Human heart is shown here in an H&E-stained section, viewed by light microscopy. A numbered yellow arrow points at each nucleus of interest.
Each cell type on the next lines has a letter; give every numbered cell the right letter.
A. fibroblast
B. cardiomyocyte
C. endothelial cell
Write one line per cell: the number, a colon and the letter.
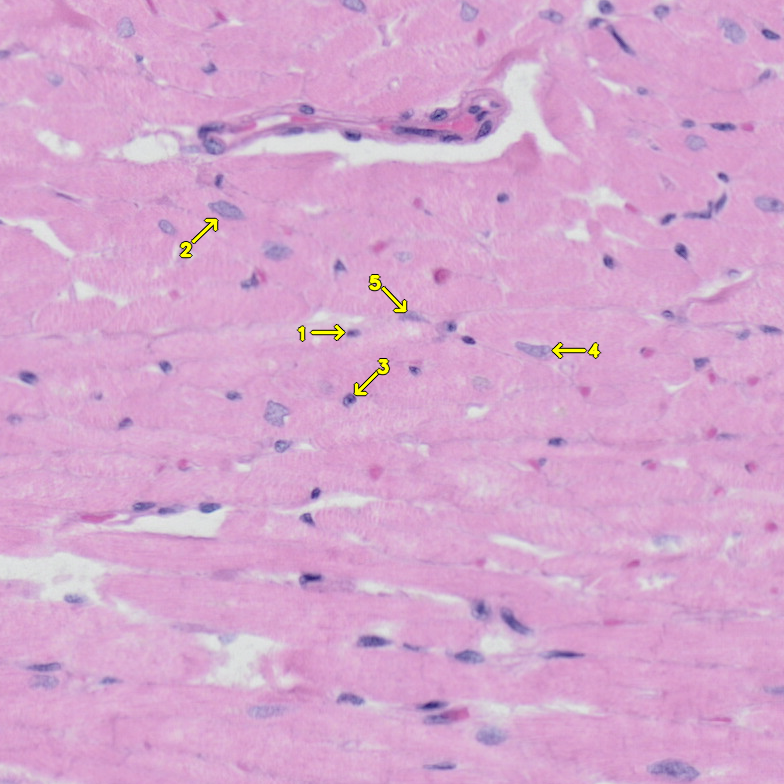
1: C
2: B
3: C
4: B
5: A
